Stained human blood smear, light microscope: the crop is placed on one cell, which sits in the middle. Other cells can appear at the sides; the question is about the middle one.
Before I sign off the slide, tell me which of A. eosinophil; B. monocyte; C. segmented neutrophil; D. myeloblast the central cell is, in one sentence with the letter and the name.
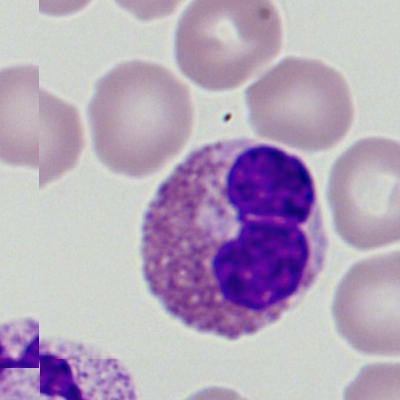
The cell in the middle is an eosinophil, and that makes option A correct.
